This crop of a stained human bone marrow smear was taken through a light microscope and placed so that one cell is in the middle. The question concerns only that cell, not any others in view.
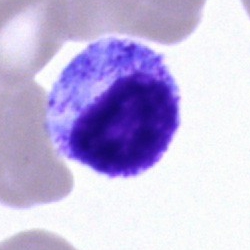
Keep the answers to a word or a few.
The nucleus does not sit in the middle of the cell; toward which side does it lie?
lower right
